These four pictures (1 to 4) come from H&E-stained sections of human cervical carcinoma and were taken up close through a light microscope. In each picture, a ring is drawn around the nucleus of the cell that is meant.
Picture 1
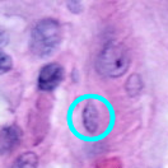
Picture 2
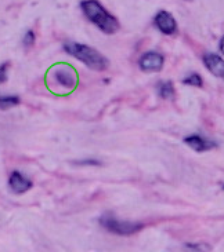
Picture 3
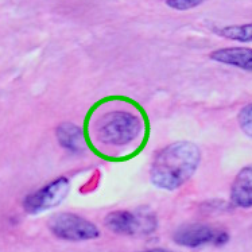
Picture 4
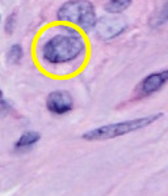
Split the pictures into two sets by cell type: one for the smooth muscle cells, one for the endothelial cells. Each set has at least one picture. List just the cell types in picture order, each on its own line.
endothelial cell
smooth muscle cell
endothelial cell
endothelial cell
